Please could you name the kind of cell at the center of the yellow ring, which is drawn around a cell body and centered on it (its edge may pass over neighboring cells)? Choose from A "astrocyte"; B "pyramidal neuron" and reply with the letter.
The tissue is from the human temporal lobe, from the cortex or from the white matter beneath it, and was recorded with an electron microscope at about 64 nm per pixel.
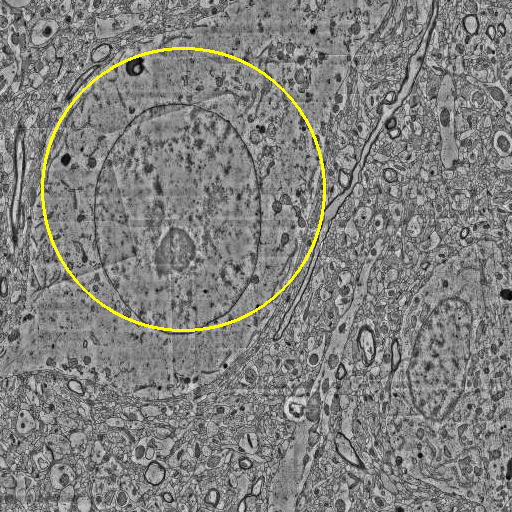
B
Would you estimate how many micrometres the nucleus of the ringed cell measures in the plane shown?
In this plane the nucleus is about 15 micrometres by 11.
